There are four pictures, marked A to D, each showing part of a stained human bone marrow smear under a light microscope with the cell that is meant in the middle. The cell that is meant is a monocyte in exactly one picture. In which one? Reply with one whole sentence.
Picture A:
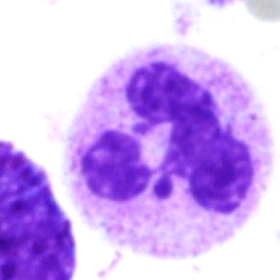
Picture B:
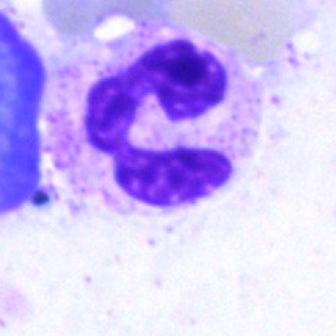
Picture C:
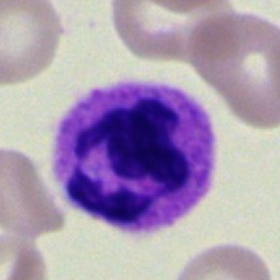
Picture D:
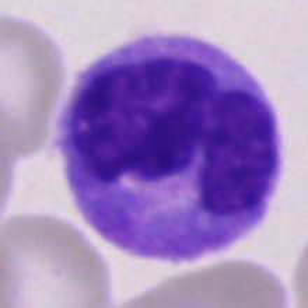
The picture with the monocyte is D.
